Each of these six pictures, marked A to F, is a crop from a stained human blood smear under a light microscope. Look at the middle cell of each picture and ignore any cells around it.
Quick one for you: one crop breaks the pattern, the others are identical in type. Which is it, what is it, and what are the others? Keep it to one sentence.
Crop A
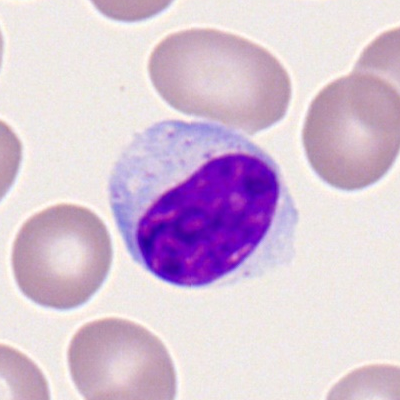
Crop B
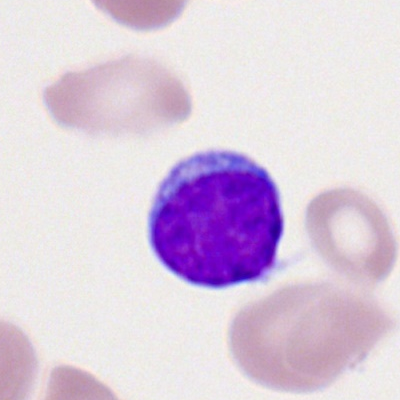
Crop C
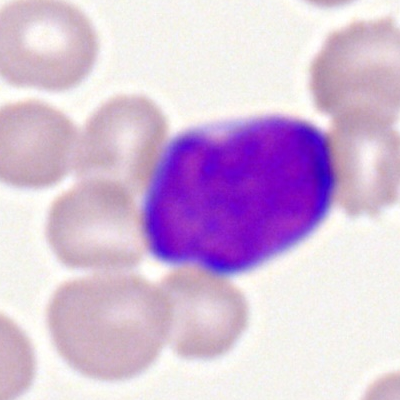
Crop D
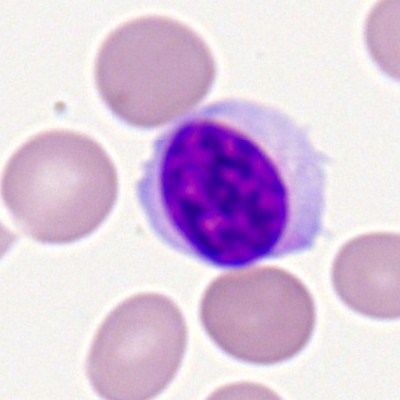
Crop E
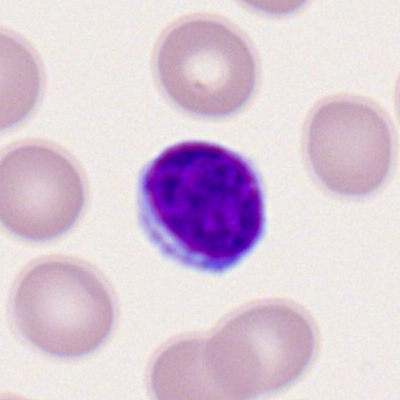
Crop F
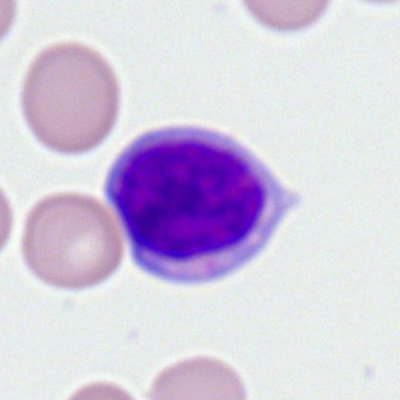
The pattern of lymphocytes across the crops is broken only by crop C, which shows a myeloblast.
